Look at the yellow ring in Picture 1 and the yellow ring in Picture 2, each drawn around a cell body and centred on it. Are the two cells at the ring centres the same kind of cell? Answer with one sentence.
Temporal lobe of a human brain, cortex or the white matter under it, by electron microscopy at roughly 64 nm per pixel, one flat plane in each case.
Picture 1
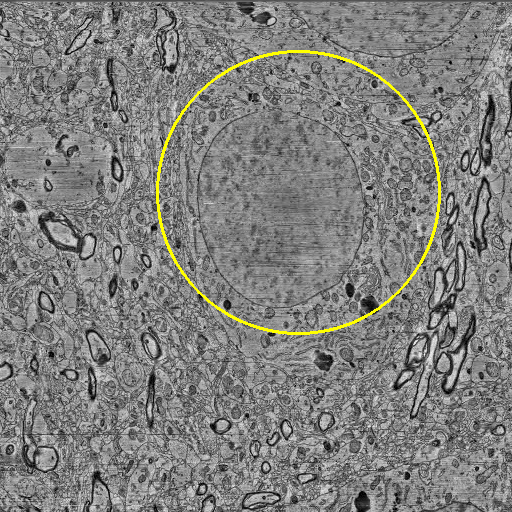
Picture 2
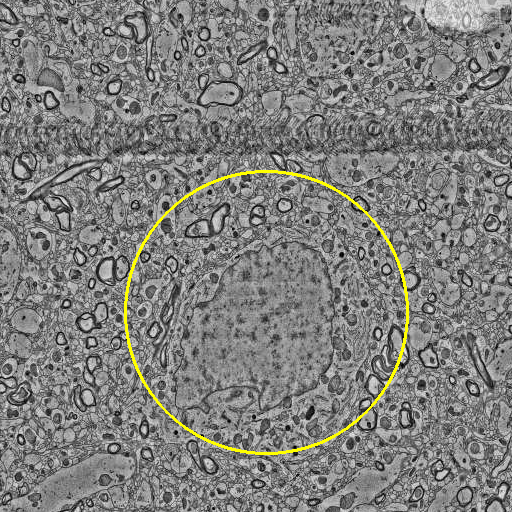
Yes, both are the same kind of cell.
